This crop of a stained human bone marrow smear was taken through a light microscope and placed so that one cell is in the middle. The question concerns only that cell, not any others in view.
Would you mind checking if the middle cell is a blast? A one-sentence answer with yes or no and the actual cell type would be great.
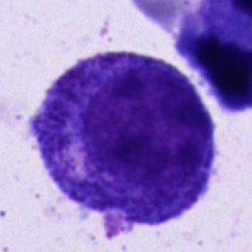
No, what lies at the heart of the crop is a promyelocyte, not a blast.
